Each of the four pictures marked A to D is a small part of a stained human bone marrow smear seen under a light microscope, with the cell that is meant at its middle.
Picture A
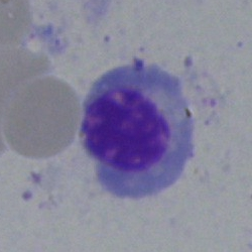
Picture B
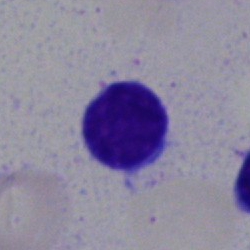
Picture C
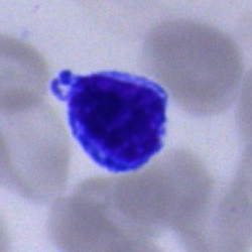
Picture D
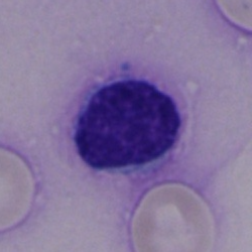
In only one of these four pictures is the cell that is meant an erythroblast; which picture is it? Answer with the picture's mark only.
A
